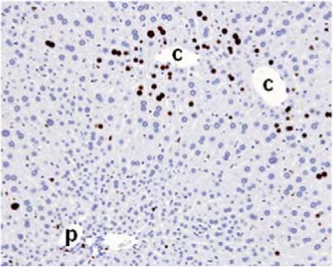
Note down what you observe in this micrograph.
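This is liver parenchyma made of hepatocytes, large polygonal cells with round central nuclei arranged in plates between the vessels. The brown nuclei are concentrated in a cluster around the vessels in the upper part of the field. Toward the vessel at the lower left, brown nuclei are few and the nuclei are mostly blue. The brown label fills whole nuclei, while the cytoplasm of the cells stays pale.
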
